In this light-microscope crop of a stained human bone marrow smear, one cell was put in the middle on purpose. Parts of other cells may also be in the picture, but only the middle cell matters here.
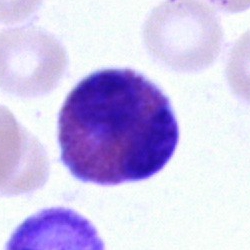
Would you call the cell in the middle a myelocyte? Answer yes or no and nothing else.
no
